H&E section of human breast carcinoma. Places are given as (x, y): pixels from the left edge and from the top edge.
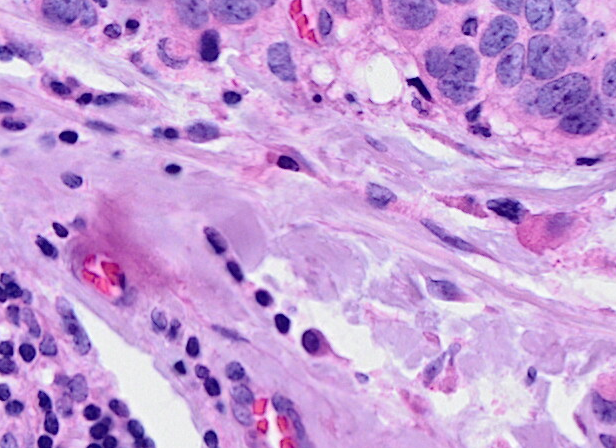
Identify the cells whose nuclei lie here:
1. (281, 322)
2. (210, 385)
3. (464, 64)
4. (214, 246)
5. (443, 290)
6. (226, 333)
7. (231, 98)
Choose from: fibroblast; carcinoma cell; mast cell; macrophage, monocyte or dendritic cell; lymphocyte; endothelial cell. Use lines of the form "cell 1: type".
cell 1: lymphocyte
cell 2: lymphocyte
cell 3: carcinoma cell
cell 4: lymphocyte
cell 5: fibroblast
cell 6: fibroblast
cell 7: lymphocyte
